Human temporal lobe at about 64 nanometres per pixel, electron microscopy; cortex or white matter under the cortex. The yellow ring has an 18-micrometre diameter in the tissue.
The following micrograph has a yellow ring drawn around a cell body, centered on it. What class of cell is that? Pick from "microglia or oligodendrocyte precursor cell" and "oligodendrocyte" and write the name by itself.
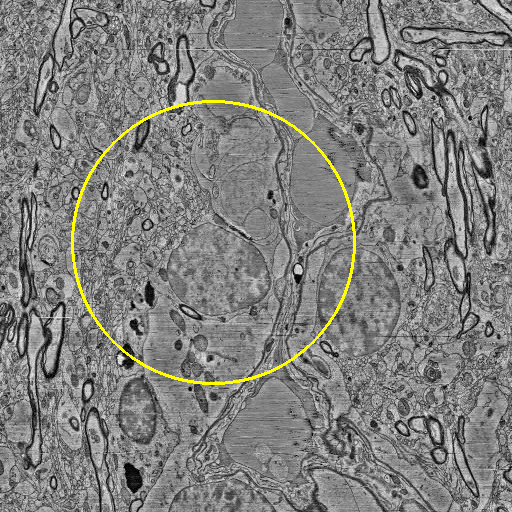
oligodendrocyte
